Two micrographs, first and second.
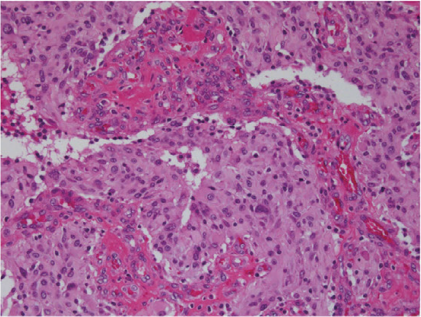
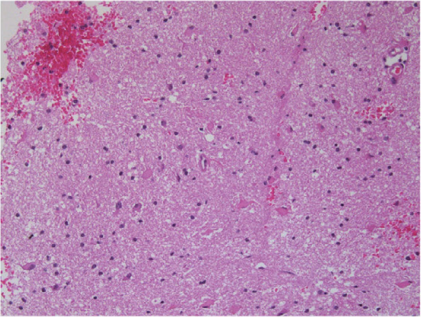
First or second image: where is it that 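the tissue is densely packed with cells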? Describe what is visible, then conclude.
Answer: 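Second image: few small nuclei scattered in a pale pink fibrillary background. First image: crowded cells with large nuclei fill most of the field. The answer: the first image.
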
